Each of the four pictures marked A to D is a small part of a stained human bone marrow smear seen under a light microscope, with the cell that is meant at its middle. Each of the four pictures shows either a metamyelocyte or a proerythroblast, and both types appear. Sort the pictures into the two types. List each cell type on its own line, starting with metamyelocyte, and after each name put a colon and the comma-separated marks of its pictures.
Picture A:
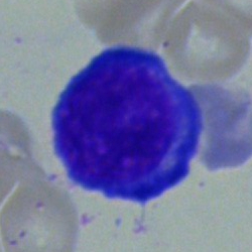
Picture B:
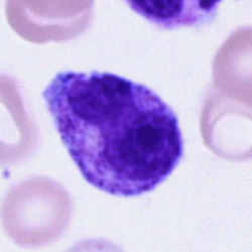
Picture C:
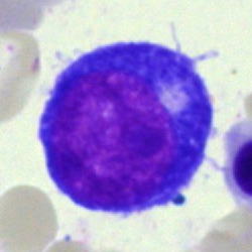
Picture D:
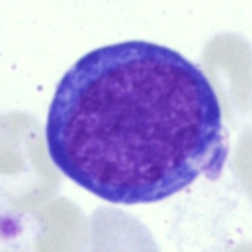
metamyelocyte: B
proerythroblast: A, C, D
